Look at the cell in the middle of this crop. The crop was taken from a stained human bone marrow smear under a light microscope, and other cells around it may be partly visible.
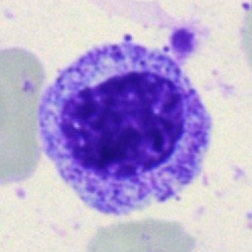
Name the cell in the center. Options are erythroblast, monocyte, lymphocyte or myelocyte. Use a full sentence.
Regarding the central cell, it is a myelocyte.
